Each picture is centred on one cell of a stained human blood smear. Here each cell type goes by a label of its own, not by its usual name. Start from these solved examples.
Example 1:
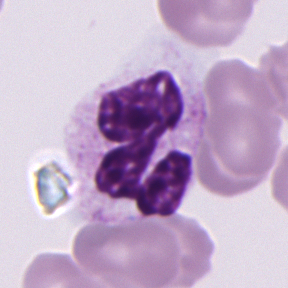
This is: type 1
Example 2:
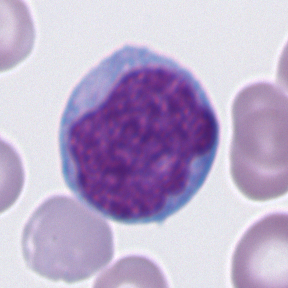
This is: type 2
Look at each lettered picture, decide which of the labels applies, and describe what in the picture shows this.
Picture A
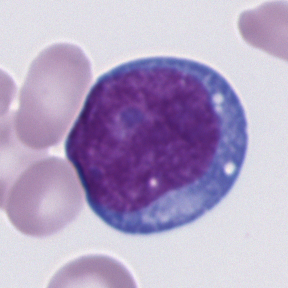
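type 2. The cytoplasm is a deep blue.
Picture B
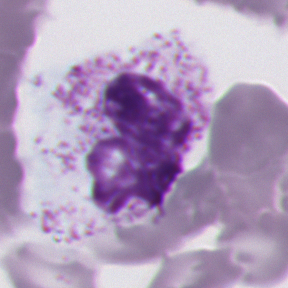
type 1. The cytoplasm between the granules is pale and nearly colourless.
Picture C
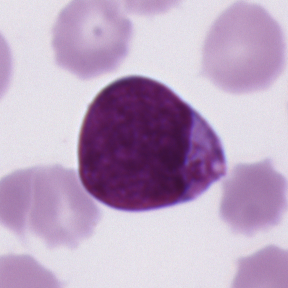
type 2. The nucleus fills most of the cell, leaving little cytoplasm.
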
